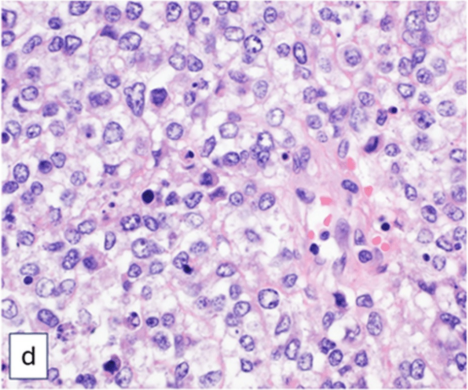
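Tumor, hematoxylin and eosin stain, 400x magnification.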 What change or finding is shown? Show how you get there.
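Small dense dark nuclear fragments are scattered between the tumor cells. The answer: karyorrhectic debris.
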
